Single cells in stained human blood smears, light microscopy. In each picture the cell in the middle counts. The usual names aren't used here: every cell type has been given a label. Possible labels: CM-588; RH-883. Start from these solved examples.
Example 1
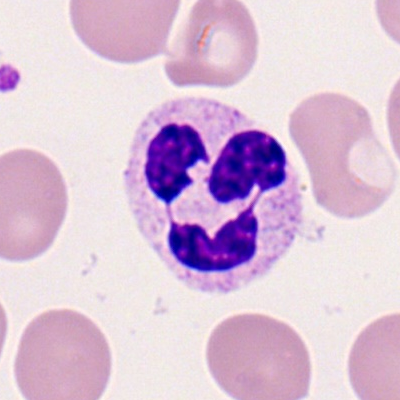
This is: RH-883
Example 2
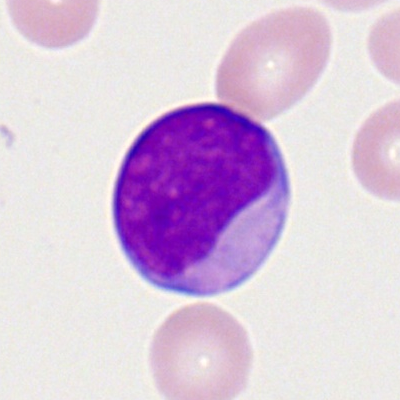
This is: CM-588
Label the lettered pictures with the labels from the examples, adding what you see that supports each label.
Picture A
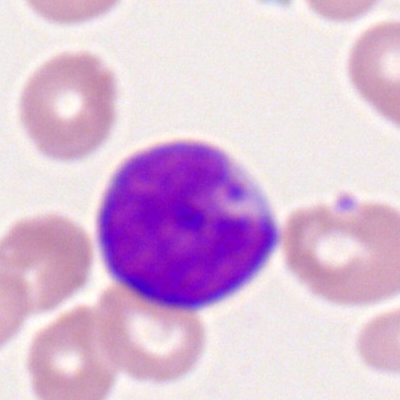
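CM-588: Very little cytoplasm can be seen around the nucleus.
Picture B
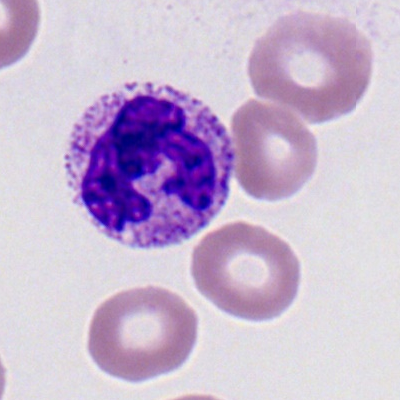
RH-883: The cytoplasm is pale pink.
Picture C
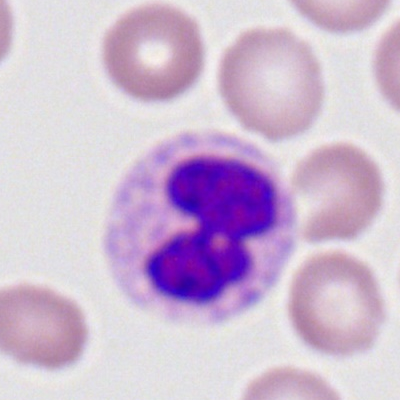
RH-883: The nucleus has two lobes, one above the other.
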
